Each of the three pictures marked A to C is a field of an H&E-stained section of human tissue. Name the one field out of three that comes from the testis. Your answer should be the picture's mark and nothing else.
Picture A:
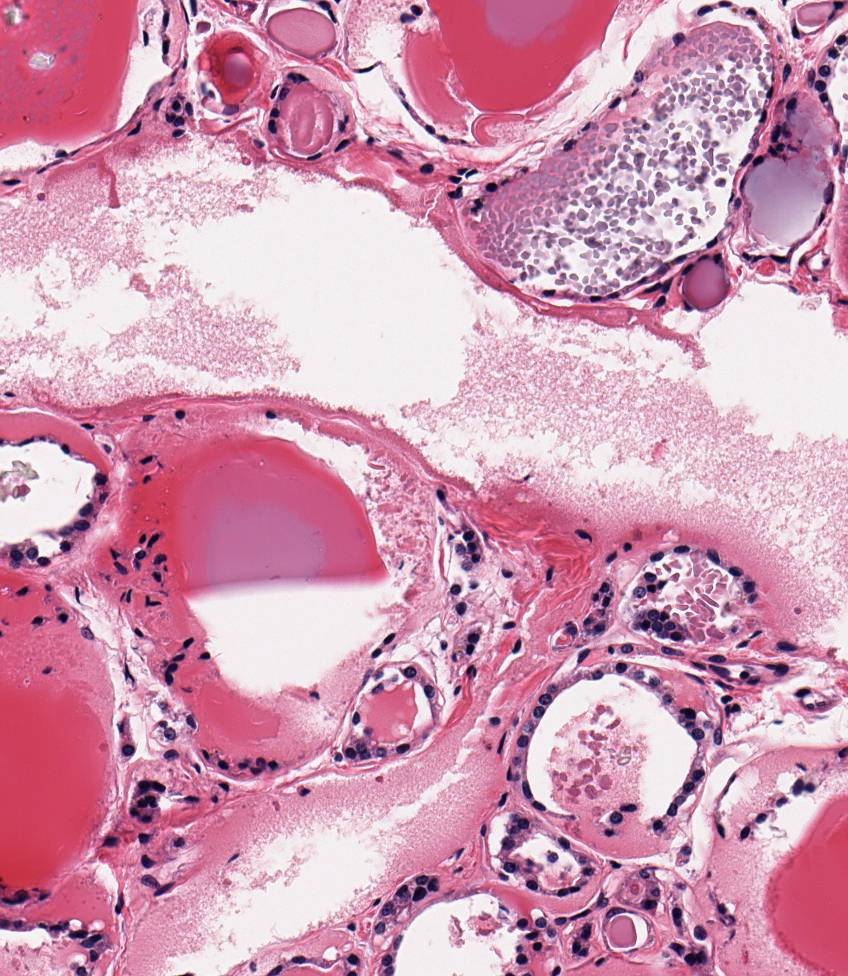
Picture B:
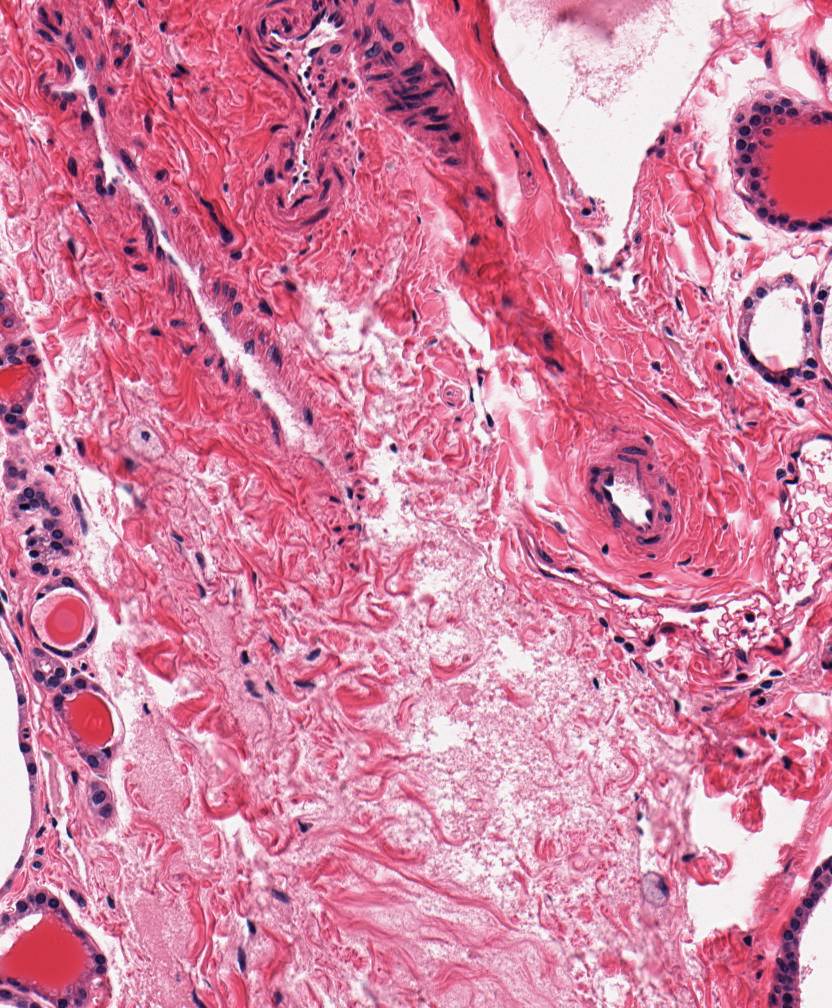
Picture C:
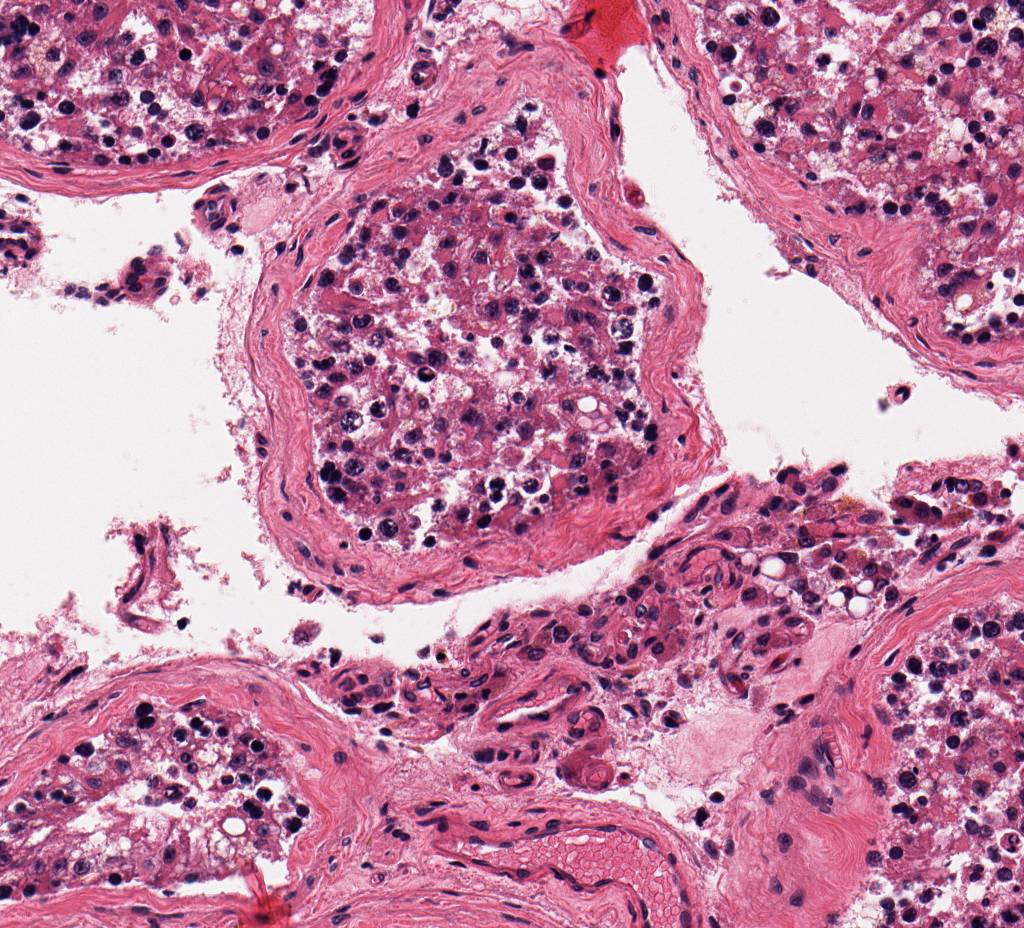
C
